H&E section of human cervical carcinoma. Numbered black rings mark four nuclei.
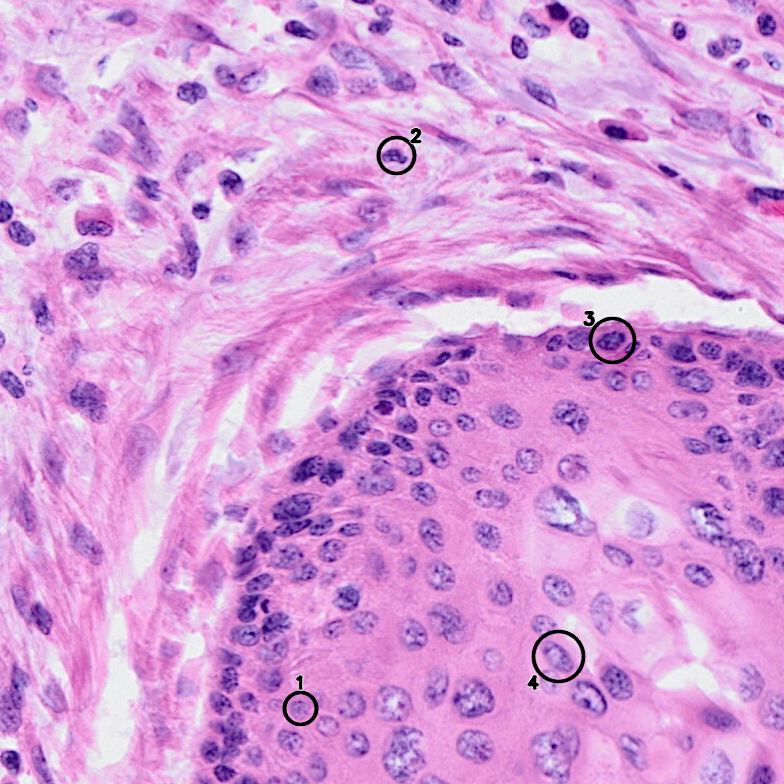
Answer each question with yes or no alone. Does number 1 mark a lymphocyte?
no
